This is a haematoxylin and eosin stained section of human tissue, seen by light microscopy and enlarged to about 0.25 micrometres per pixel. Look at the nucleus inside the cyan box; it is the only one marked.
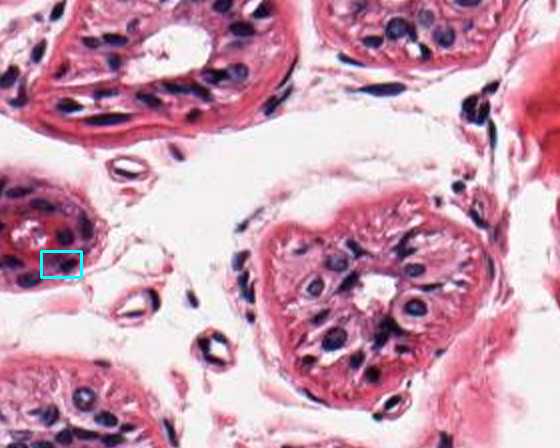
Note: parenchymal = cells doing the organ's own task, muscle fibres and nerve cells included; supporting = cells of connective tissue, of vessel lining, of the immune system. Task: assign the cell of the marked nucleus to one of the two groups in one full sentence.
The marked nucleus is owned by a parenchymal cell, in this case a sweat gland cell.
